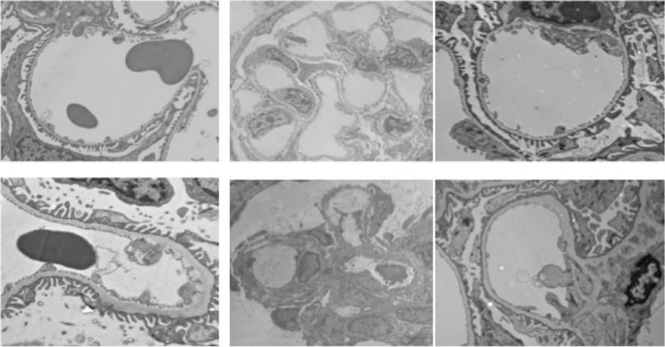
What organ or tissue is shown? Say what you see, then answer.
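Rounded capillary lumens, some holding dark red blood cells. Thin basement membranes line the lumens, with cell processes on their outer side. That points to this answer: glomerulus.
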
